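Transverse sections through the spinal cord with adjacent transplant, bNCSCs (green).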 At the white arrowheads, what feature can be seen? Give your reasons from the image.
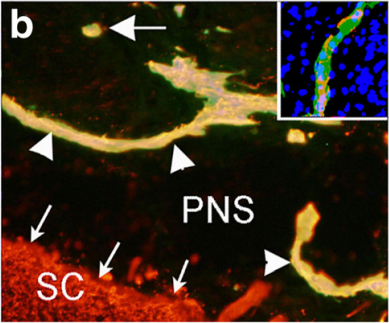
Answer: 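Elongated tubes. The arrowheads point to long, narrow, branching yellow-green profiles. These profiles run through the region outside the densely stained red tissue.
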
